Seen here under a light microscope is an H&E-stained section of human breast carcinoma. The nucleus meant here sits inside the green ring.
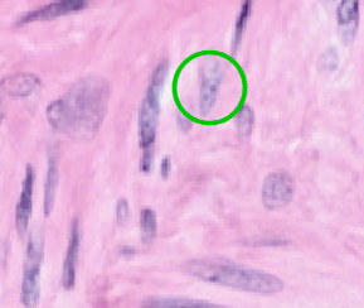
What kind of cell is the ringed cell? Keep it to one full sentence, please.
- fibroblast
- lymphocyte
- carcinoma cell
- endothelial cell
With respect to cell type, the ringed cell is an endothelial cell.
